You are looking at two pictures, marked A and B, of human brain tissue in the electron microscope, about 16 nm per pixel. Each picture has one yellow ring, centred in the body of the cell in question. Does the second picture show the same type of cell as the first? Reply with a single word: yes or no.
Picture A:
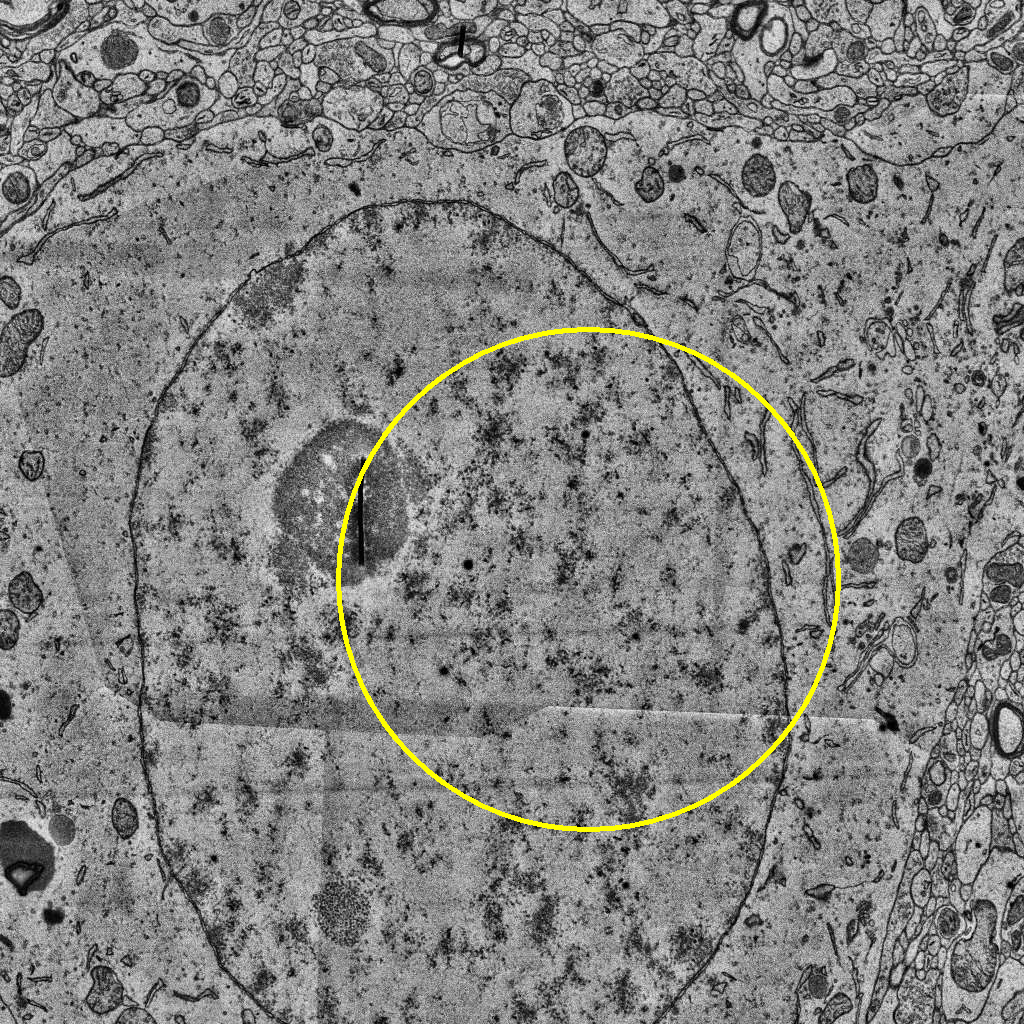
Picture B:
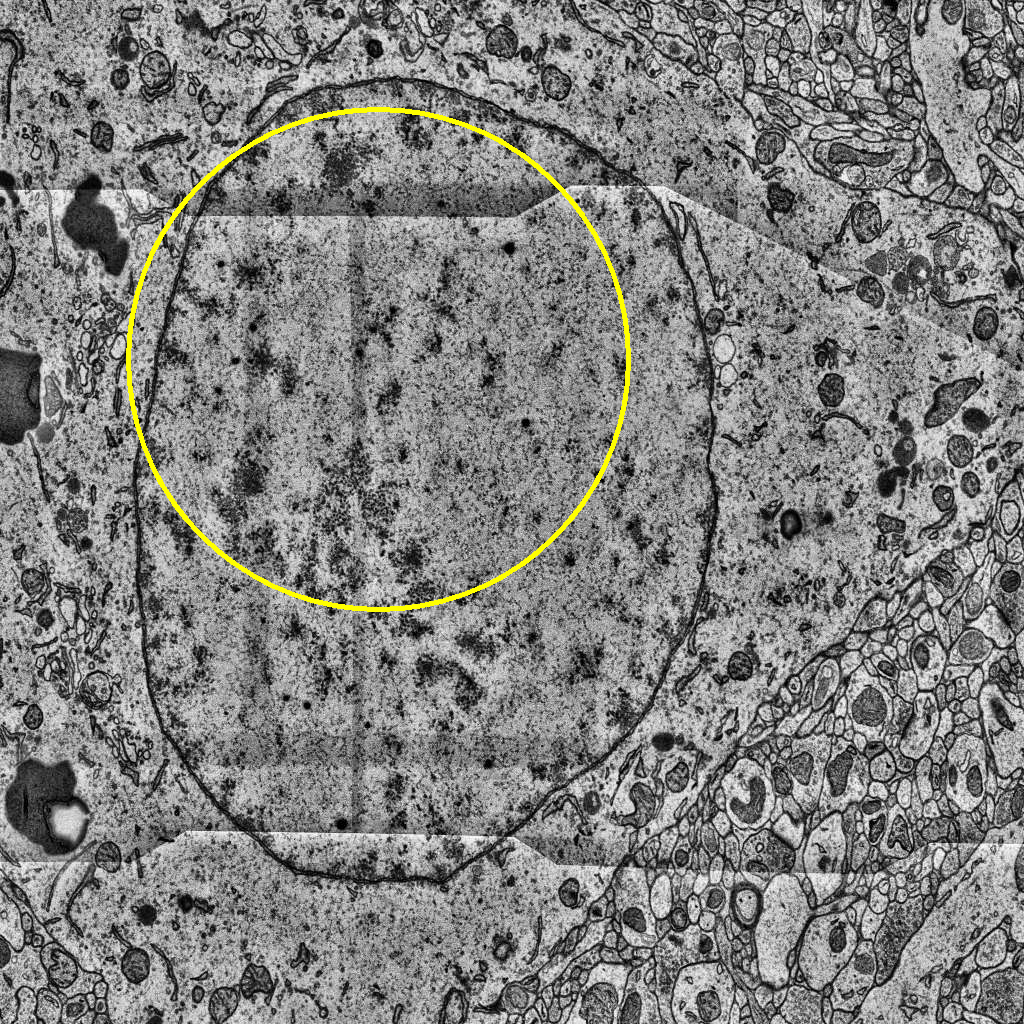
yes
